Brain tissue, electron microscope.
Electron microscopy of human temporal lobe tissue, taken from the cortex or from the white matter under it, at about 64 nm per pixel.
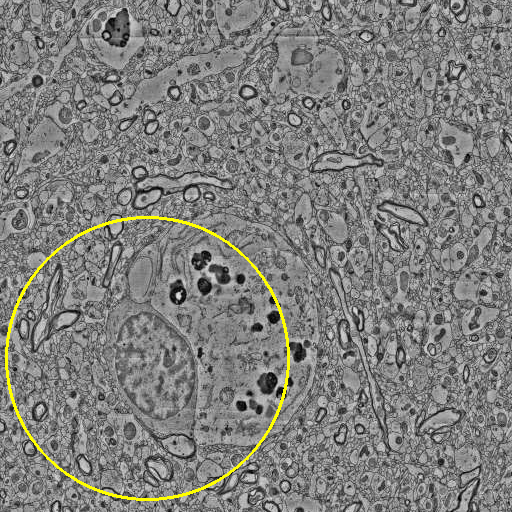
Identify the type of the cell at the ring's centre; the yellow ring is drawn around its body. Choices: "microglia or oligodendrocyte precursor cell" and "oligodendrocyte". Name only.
oligodendrocyte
